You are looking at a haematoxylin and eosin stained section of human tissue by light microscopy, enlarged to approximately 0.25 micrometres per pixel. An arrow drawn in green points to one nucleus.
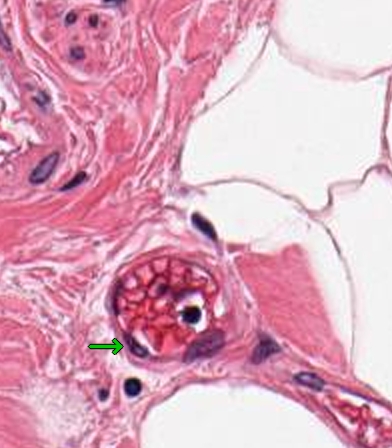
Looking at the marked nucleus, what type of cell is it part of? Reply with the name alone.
endothelial cell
